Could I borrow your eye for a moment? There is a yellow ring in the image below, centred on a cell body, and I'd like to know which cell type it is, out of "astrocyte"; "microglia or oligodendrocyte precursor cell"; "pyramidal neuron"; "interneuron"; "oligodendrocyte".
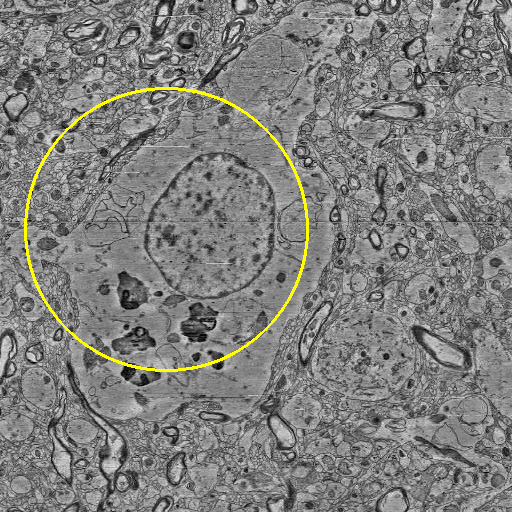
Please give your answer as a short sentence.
The cell body at the centre is that of an astrocyte.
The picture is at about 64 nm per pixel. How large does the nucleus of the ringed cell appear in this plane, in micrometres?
The nucleus has a long axis of about 10 micrometres and a short axis of about 8 micrometres in this plane.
